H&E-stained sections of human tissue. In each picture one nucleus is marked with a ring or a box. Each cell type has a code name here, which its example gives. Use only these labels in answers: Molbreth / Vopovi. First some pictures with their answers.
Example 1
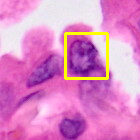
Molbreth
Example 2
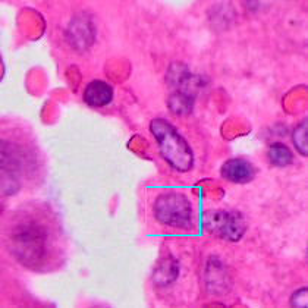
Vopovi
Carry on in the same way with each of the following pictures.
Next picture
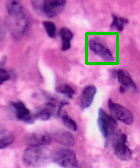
Vopovi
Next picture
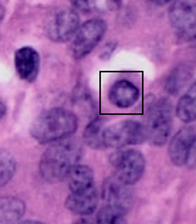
Vopovi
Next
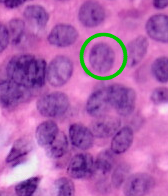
Molbreth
